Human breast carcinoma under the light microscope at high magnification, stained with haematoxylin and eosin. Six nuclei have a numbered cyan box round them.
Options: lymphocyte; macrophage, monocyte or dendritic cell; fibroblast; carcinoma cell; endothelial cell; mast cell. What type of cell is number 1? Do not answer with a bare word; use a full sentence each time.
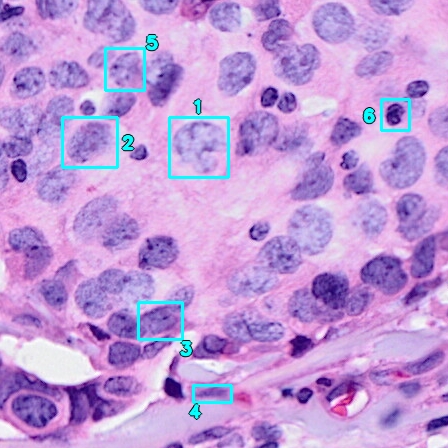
The cell referred to as 1 is a carcinoma cell.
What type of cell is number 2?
Regarding cell 2, this one is a carcinoma cell.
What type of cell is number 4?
The cell marked with the number 4 is an endothelial cell.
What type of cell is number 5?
Cell 5 in the field of view is a carcinoma cell.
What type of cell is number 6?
Cell 6 in the field is a lymphocyte.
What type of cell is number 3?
The cell that carries the label 3 is a carcinoma cell.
